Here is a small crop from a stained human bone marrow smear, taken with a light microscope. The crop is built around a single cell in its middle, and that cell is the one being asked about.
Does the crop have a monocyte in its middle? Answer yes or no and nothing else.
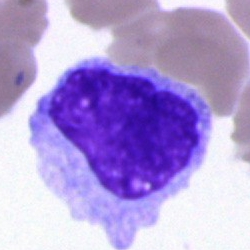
yes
